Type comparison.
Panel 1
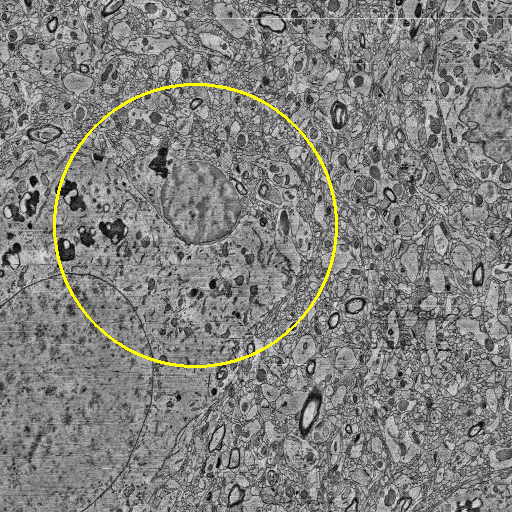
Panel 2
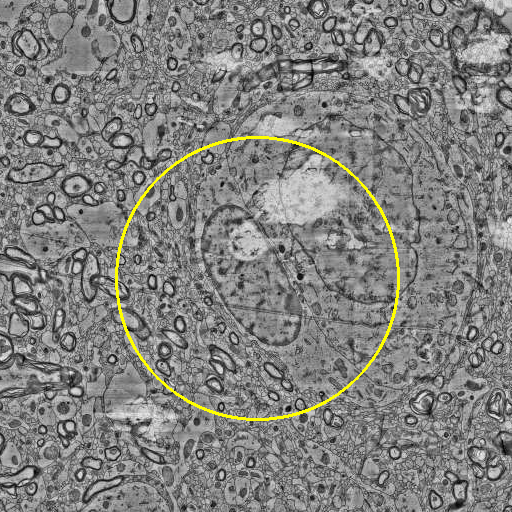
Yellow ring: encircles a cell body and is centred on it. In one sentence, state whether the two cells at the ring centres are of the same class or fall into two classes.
In these panels, the two cells at the ring centres fall into two classes.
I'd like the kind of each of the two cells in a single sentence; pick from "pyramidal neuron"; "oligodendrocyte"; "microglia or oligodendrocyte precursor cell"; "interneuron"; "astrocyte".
The first ring marks an oligodendrocyte, and the second ring marks a microglial cell or oligodendrocyte precursor cell.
